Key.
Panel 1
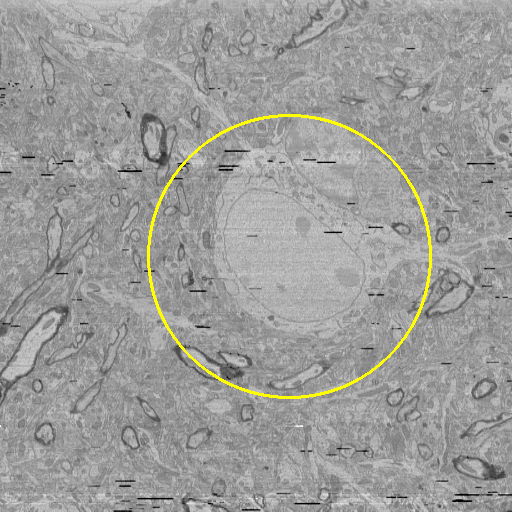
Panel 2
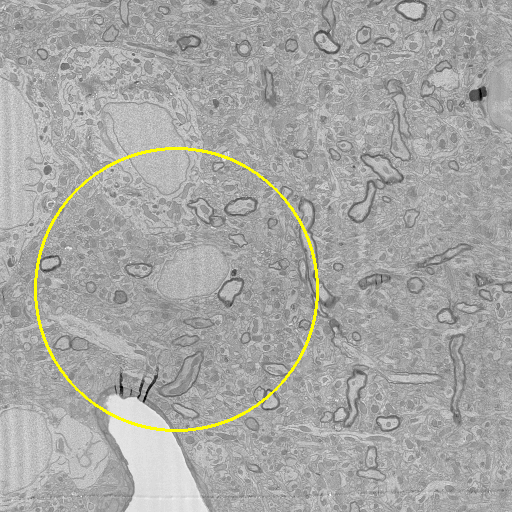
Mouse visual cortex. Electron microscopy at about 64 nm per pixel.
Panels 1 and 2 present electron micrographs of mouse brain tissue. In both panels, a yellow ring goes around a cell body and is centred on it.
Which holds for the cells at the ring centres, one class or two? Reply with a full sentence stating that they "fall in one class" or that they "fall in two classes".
Taken together, the ring-centre cells of the two panels fall in two classes.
